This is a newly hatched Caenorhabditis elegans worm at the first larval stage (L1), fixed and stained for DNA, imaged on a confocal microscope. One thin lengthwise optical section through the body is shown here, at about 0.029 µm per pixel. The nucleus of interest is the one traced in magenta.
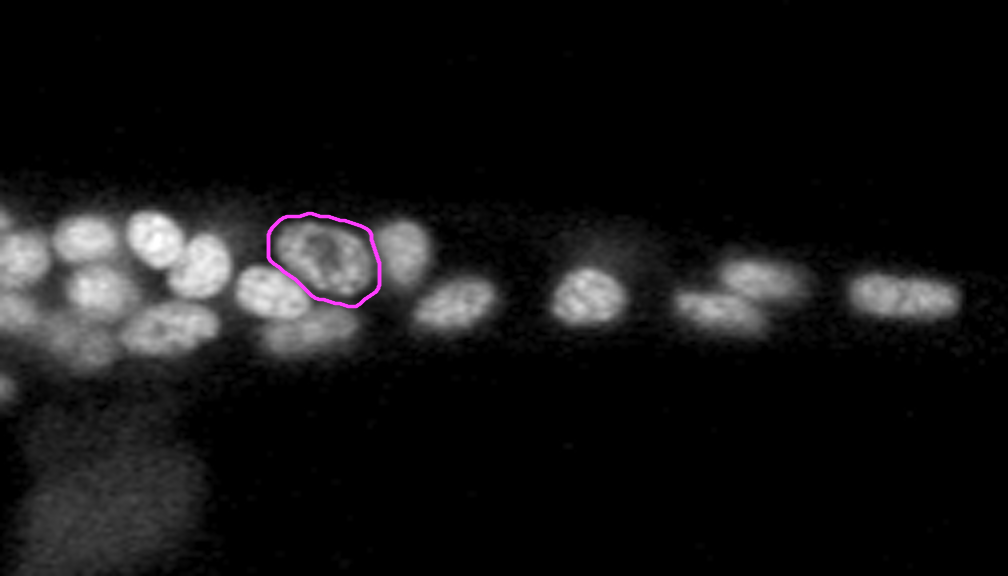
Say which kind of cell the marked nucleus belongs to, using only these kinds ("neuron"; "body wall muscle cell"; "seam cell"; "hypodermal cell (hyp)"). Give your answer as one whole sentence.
The cell with the marked nucleus is a seam cell.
